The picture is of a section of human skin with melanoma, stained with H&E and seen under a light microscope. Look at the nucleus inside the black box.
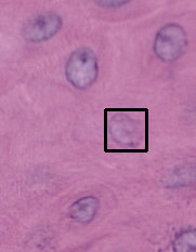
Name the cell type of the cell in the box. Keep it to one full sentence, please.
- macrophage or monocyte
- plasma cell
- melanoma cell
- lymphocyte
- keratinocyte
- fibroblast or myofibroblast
In short, the cell in the box on this section is a keratinocyte.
